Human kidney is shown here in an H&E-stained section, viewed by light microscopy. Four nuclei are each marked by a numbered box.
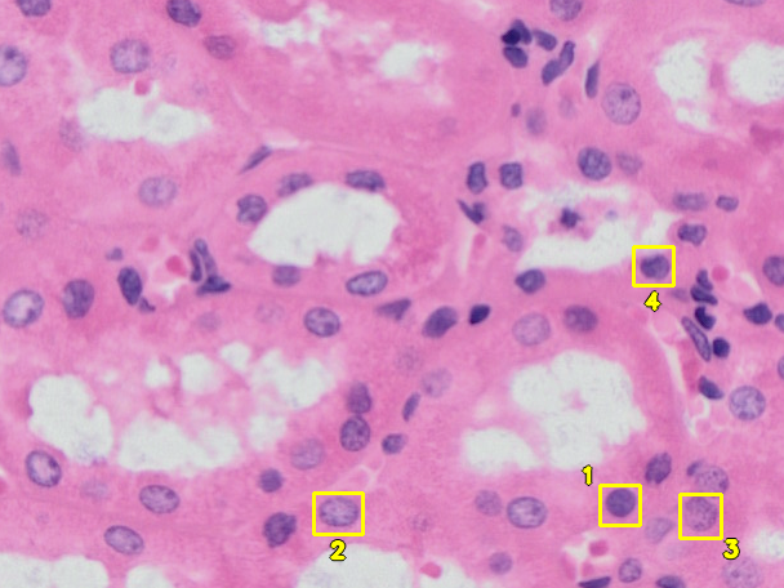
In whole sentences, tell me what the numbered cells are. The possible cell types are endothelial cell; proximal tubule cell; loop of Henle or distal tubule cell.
Cell 1 is a proximal tubule cell, cell 2 is a proximal tubule cell, cell 3 is a proximal tubule cell and cell 4 is a loop of Henle or distal tubule cell.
